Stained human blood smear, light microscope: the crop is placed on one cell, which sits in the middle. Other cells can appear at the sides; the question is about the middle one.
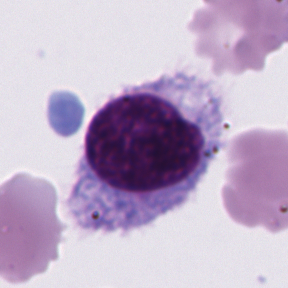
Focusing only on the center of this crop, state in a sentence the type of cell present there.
In the center of this field lies a hairy cell.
